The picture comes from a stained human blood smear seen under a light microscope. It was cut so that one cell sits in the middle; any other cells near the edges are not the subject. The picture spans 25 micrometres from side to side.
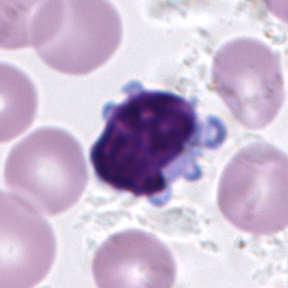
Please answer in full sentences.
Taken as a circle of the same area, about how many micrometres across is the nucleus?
Taken as a circle, the nucleus has a diameter of about 8 micrometres.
